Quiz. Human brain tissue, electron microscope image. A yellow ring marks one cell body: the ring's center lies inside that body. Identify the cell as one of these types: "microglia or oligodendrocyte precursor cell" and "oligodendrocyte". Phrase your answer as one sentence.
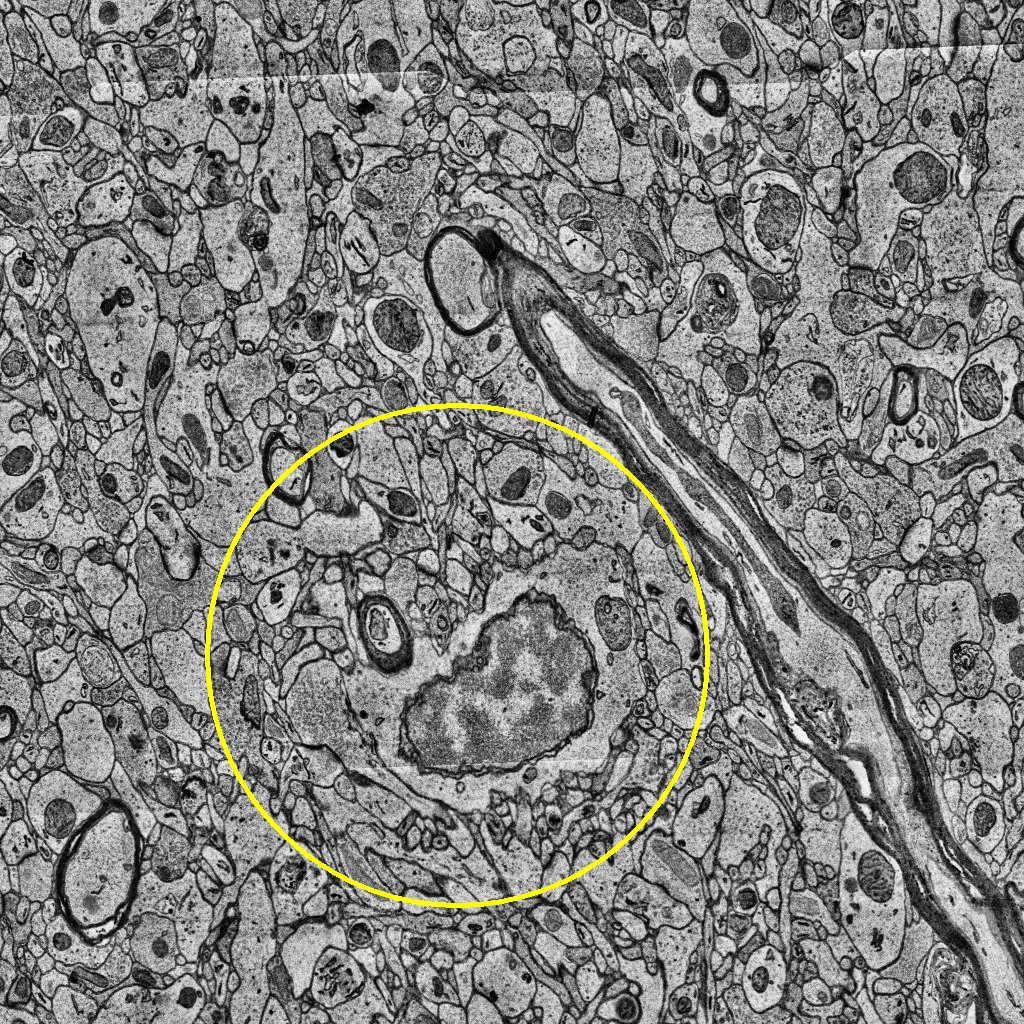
At the center of the ring sits a microglial cell or oligodendrocyte precursor cell.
